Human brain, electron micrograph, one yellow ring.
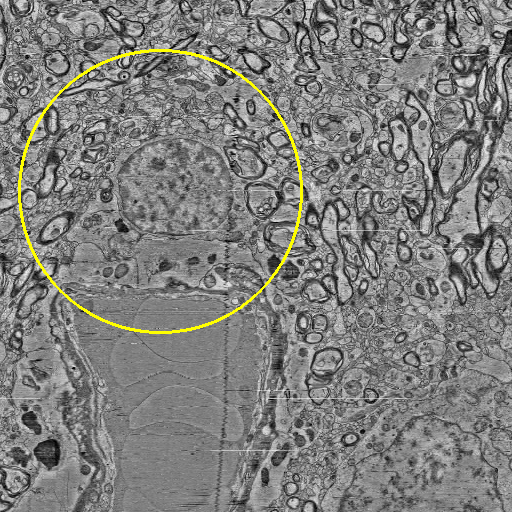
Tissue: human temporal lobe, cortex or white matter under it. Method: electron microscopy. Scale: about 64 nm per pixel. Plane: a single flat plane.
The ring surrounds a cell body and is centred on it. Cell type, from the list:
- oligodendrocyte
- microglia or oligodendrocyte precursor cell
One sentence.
The yellow ring circles an oligodendrocyte.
